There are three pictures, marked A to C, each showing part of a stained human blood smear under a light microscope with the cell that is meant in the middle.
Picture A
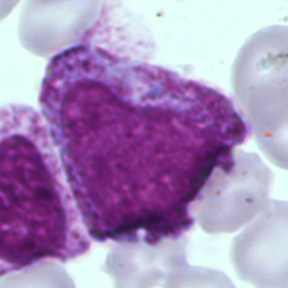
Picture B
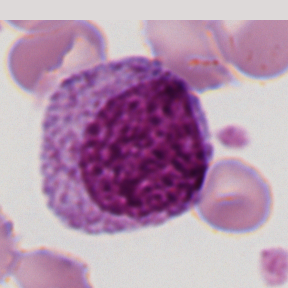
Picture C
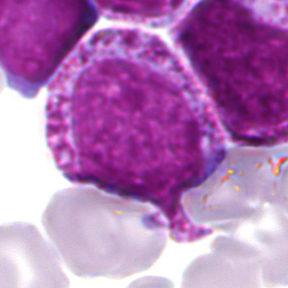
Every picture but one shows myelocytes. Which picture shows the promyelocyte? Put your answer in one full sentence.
The promyelocyte is the one in picture A.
